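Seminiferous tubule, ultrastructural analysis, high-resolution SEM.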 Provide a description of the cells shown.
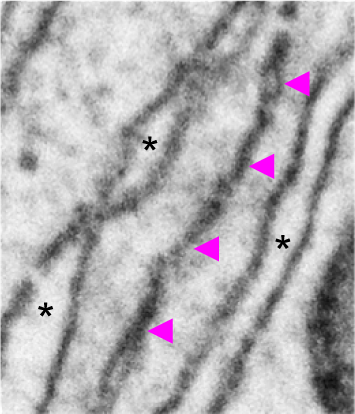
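Electron micrograph of a junction between Sertoli cells with paired membranes running in parallel. The magenta arrowheads follow a dark band of closely apposed membranes forming tight junctions, and asterisks mark flattened cisterns of endoplasmic reticulum lying alongside it.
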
